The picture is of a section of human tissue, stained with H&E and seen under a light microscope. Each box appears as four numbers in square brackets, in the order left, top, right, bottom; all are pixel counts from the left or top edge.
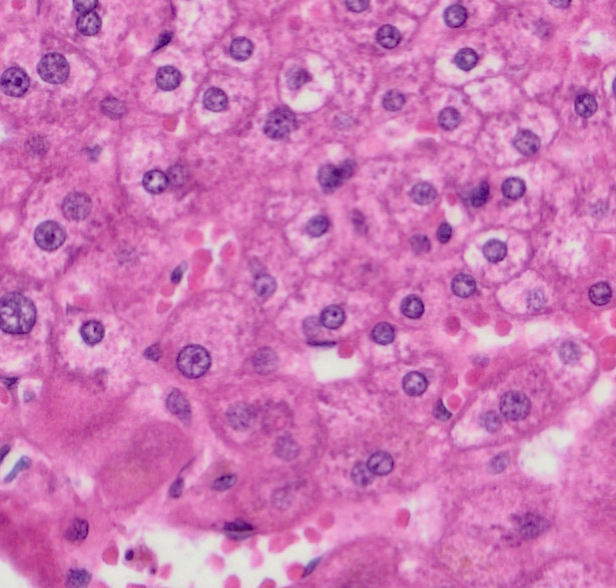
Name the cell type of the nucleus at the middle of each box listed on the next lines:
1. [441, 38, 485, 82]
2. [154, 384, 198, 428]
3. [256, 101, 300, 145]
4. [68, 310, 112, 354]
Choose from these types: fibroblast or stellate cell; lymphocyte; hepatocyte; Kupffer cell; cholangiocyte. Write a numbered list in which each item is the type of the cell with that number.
1. hepatocyte
2. Kupffer cell
3. hepatocyte
4. hepatocyte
